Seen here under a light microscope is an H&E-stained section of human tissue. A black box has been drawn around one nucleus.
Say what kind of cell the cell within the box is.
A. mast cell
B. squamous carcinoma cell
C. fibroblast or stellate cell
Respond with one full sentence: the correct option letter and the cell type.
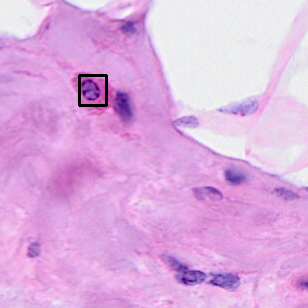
In this item, the cell within the box is a mast cell, and option A is right.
